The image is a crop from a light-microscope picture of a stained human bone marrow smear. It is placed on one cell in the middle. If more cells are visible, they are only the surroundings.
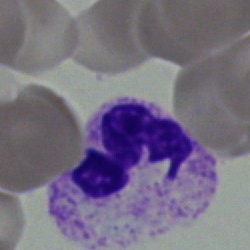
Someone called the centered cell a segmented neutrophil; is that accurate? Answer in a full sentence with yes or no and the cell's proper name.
Yes, placed in the middle of the crop is a segmented neutrophil.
